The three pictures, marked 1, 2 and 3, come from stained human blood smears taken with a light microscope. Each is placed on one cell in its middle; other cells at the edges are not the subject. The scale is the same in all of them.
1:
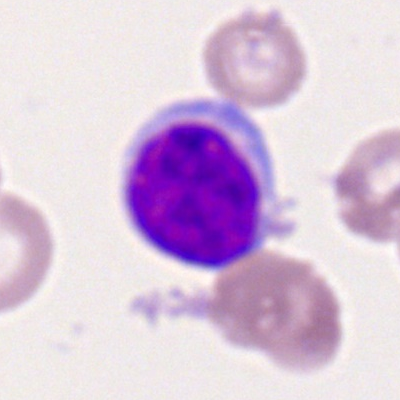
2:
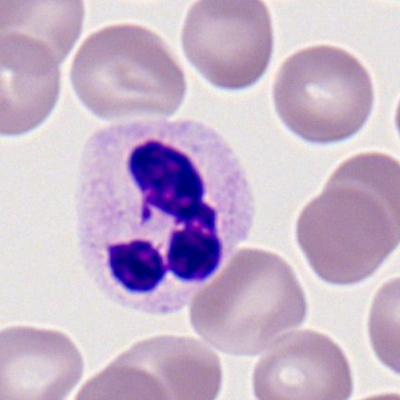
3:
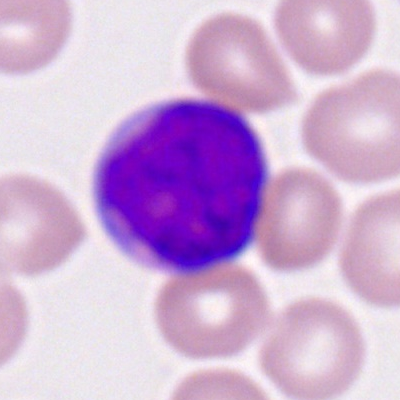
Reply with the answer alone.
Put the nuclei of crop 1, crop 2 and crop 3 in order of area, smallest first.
2, 1, 3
